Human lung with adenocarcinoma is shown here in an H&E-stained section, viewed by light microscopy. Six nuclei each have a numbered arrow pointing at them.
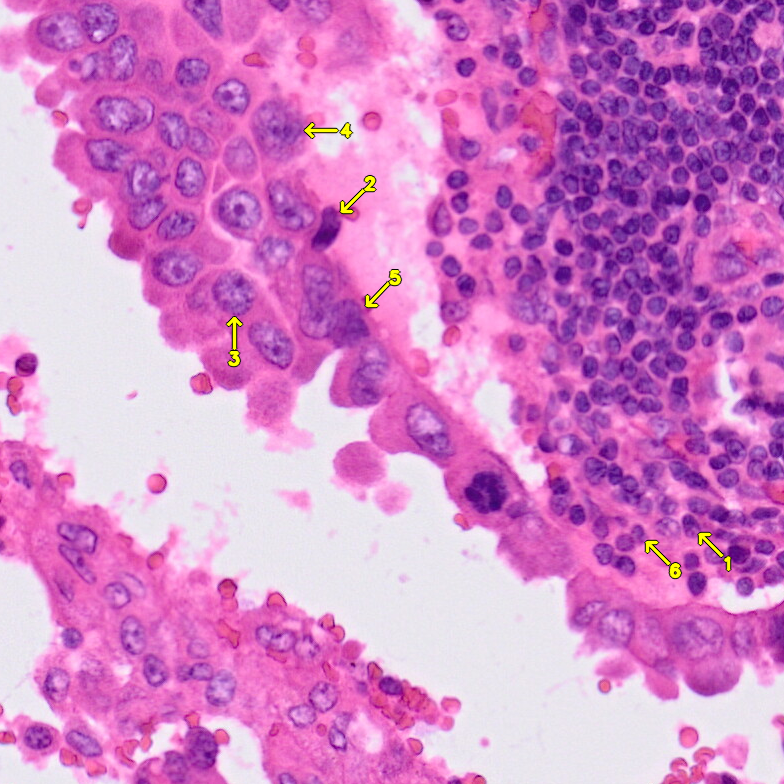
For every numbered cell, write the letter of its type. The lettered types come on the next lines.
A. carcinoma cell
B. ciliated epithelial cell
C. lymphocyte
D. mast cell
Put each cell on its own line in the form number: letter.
1: C
2: A
3: A
4: A
5: A
6: C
